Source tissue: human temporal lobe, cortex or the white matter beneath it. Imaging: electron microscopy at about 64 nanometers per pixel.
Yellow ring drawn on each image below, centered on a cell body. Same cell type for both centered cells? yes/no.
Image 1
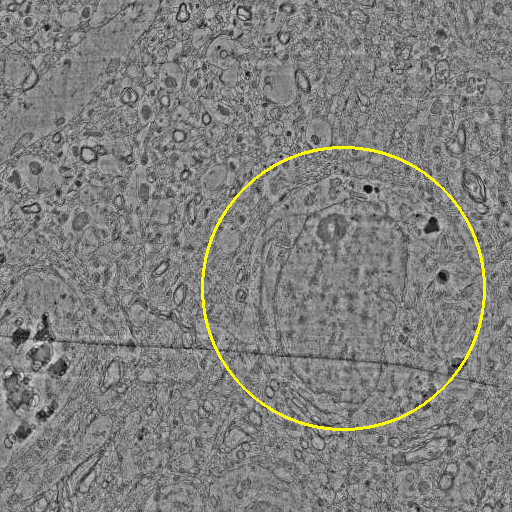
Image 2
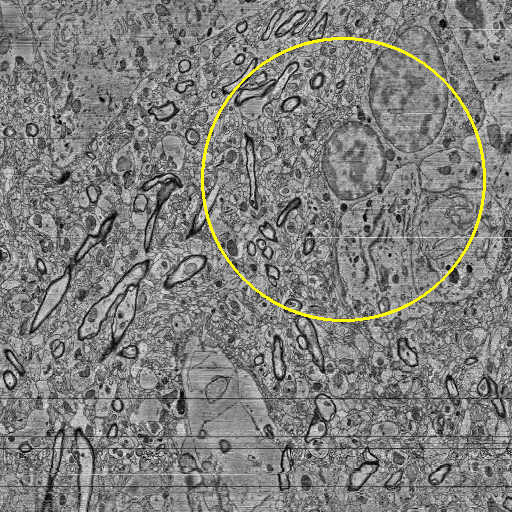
no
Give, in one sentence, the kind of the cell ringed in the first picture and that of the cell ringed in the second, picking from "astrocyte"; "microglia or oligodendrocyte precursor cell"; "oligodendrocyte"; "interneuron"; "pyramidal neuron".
For the first picture it is an interneuron; for the second, an oligodendrocyte.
